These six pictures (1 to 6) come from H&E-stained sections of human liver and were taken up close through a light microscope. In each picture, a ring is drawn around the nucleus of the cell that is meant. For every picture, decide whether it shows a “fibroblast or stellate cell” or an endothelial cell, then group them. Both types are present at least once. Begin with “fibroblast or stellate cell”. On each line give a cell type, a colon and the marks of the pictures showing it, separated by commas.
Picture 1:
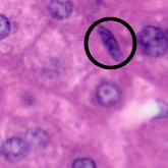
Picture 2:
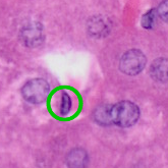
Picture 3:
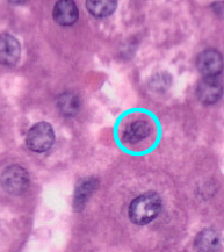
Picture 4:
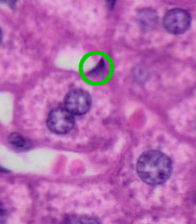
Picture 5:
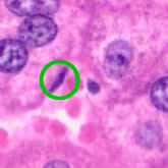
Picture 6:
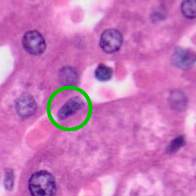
fibroblast or stellate cell: 1, 2, 3, 6
endothelial cell: 4, 5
